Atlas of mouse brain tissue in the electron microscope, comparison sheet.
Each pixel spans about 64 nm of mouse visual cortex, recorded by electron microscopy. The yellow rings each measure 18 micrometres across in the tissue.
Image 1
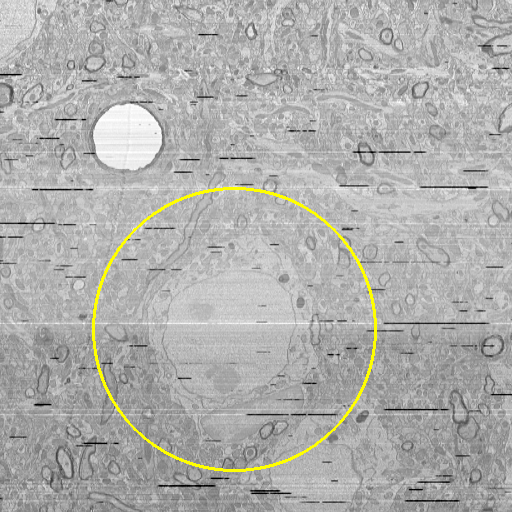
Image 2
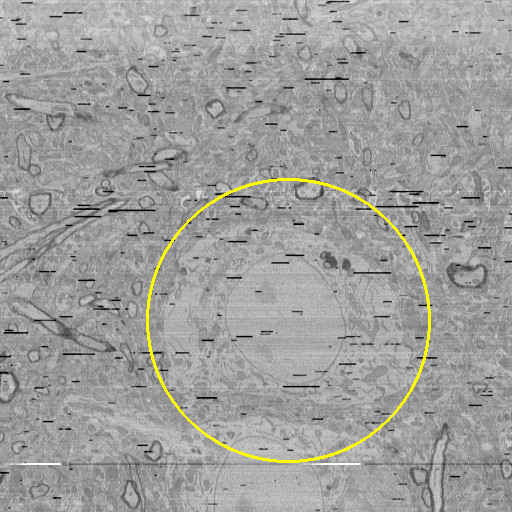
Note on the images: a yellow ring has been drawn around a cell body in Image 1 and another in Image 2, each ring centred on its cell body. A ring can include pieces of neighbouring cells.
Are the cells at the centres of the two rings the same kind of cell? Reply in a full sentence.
Yes, both cells are of the same kind.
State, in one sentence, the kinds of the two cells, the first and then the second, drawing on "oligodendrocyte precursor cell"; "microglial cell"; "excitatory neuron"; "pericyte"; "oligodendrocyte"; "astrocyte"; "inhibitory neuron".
The ring centre holds an excitatory neuron in each of the two pictures.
